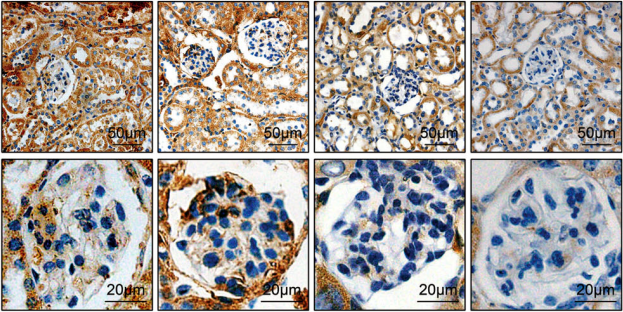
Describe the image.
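The upper row shows kidney cortex at low magnification, with round glomeruli surrounded by many cross-sections of tubules whose cells carry brown granular staining in their cytoplasm. The lower row shows single glomeruli at higher magnification, with tightly packed blue nuclei in a tuft lying inside a clear space. The brown staining is strong in some images and much paler in others, where tubules and glomerular tufts look mostly blue and pale.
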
